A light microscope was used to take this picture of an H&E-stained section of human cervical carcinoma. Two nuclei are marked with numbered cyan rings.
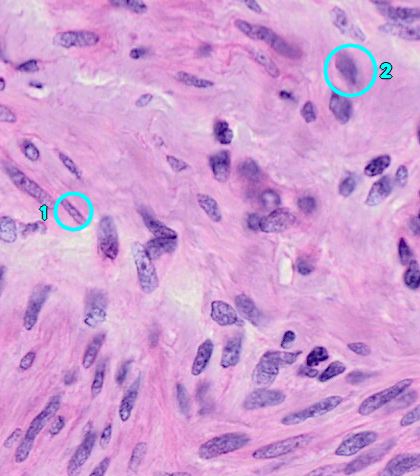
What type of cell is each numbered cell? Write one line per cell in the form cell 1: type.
cell 1: smooth muscle cell
cell 2: fibroblast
